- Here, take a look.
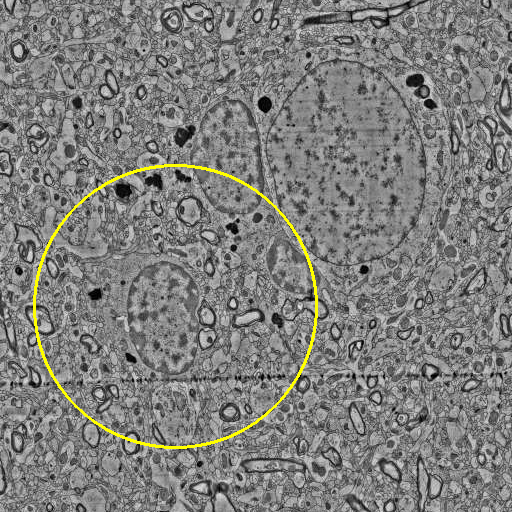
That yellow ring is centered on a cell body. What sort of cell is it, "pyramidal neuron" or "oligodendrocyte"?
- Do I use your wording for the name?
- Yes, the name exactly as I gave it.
oligodendrocyte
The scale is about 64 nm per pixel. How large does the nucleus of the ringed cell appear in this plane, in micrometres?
About 7 micrometres by about 5 micrometres in this plane.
